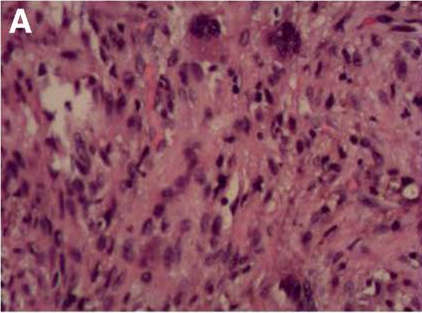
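This is a cellular fibrous lesion made of spindle-shaped and ovoid cells with elongated, dark purple nuclei, set in a pale pink, loosely fibrillar stroma. The cells run in loose streaming bundles without a clear layered arrangement. Near the top, a few large cells hold clusters of several nuclei. Small clear spaces are scattered through the stroma.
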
